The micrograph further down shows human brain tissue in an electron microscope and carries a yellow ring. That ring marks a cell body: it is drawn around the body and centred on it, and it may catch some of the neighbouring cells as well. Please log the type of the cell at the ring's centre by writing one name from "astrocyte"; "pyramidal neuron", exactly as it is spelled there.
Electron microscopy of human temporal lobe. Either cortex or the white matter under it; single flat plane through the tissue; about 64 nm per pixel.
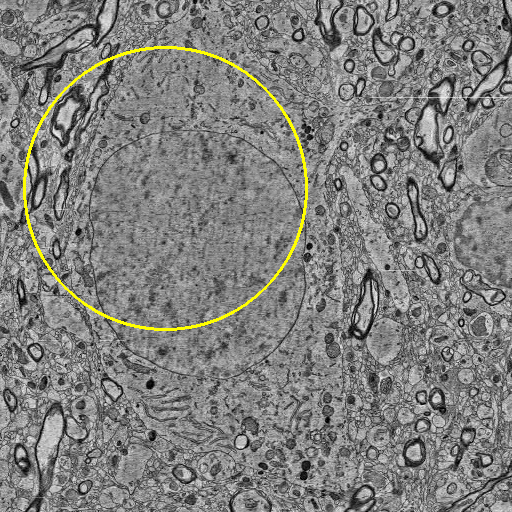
pyramidal neuron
